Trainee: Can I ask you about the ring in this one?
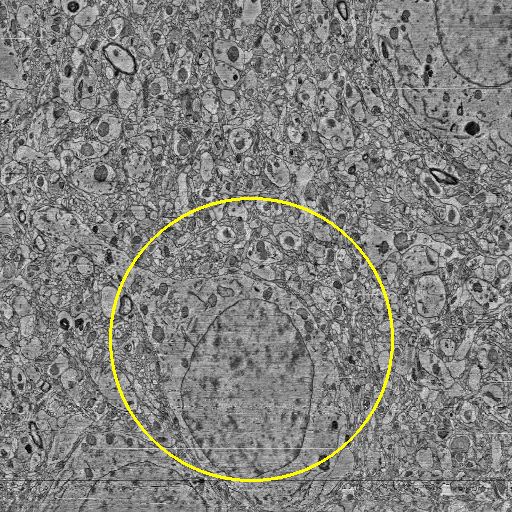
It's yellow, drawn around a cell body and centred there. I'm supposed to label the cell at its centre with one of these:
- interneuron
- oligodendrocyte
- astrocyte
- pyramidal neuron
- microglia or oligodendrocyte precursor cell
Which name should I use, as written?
pyramidal neuron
